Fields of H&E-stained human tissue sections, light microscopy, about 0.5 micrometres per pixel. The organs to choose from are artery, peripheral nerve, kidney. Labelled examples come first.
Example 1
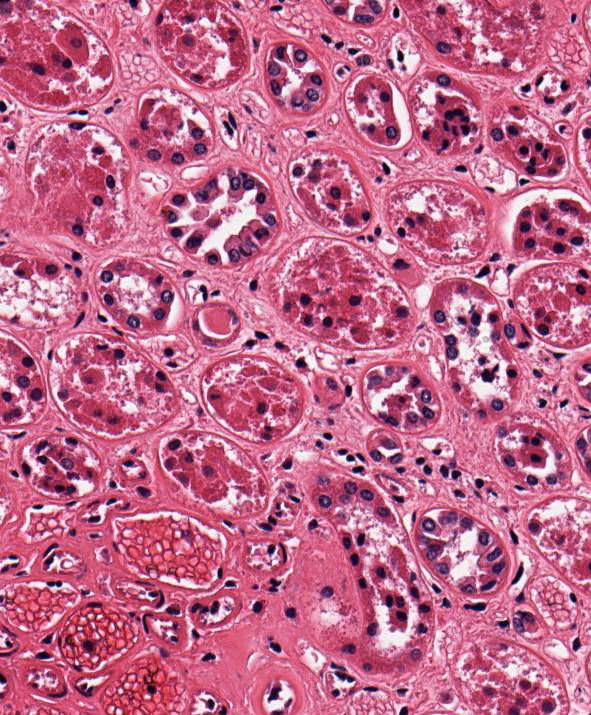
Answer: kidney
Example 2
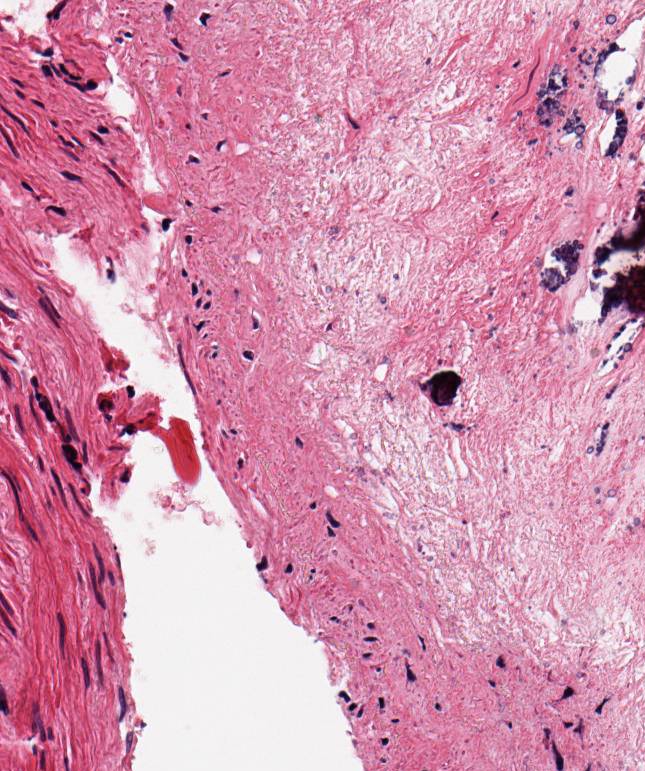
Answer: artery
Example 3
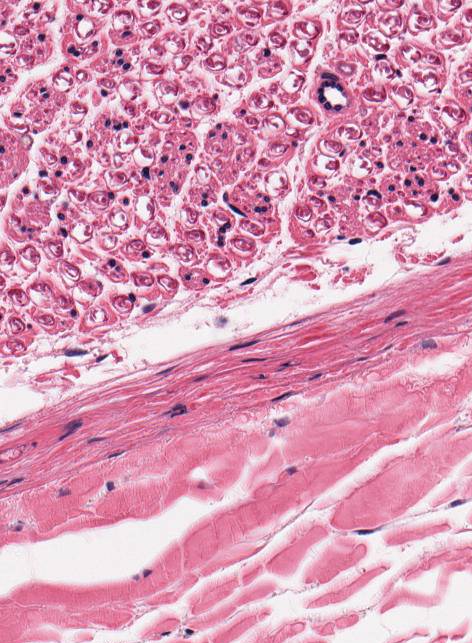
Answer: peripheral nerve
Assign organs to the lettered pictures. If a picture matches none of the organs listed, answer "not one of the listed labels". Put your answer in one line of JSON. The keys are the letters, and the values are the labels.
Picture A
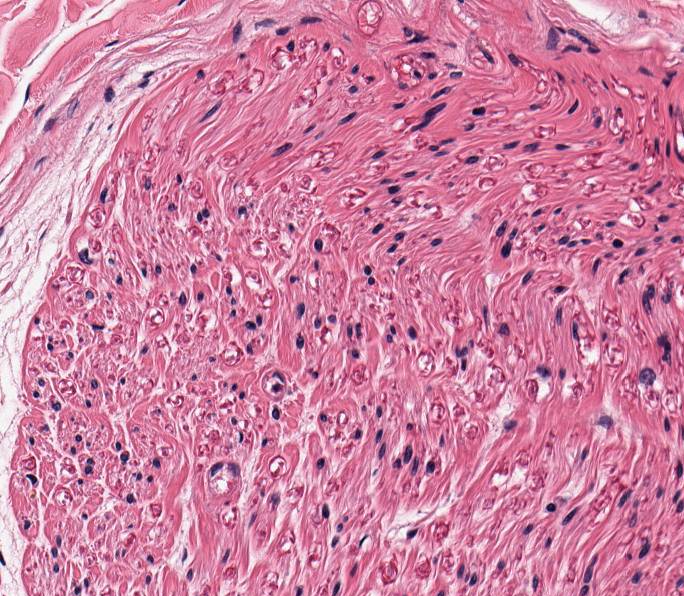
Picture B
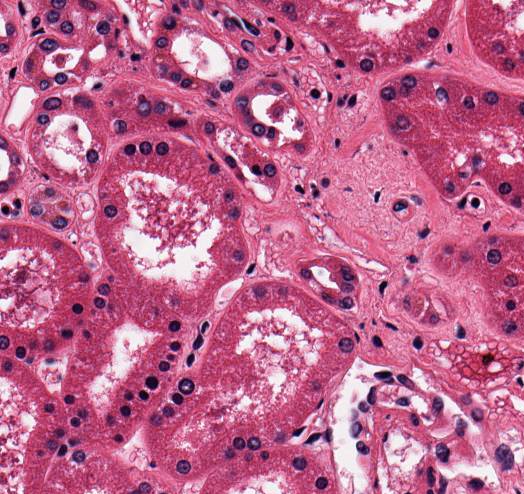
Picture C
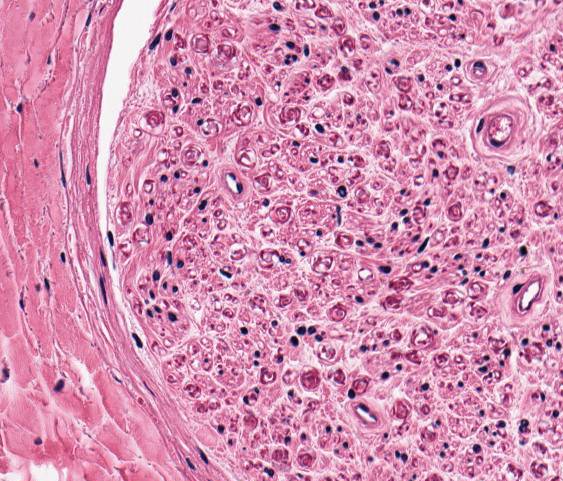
{"A": "peripheral nerve", "B": "kidney", "C": "peripheral nerve"}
